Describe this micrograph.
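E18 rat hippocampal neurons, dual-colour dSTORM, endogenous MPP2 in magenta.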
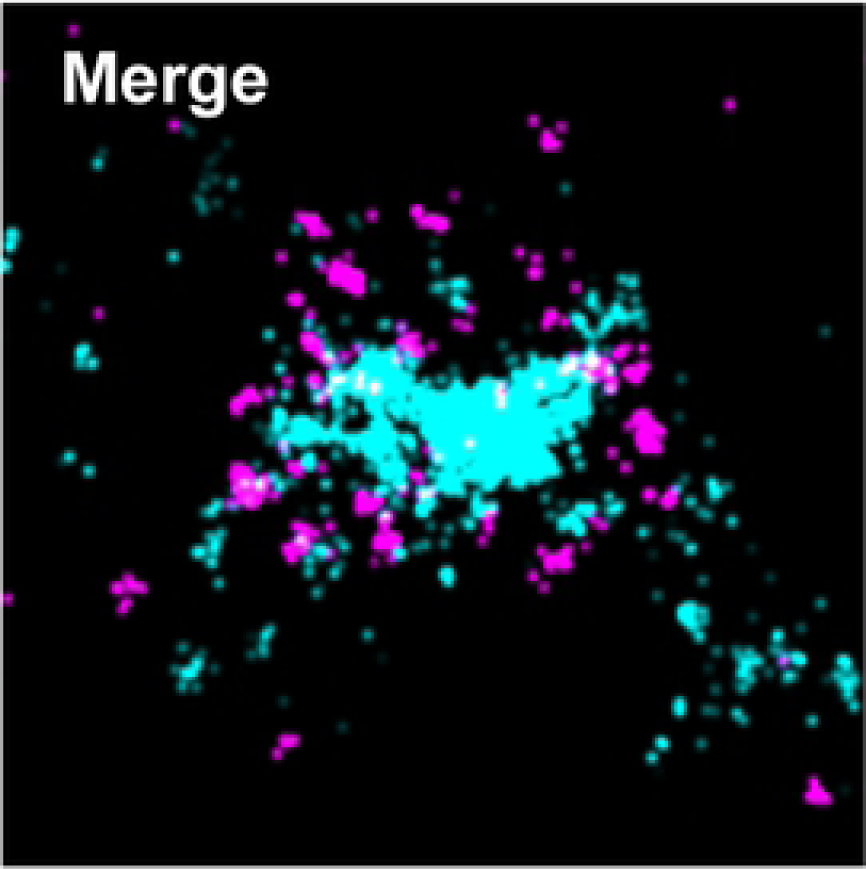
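Small discrete magenta clusters lie scattered around its edges, forming a loose ring that surrounds the cyan mass. Only a few points overlap where the two colours meet, seen as whitish spots at the margin. Sparse cyan localisations extend away from the central cluster toward the lower corners.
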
